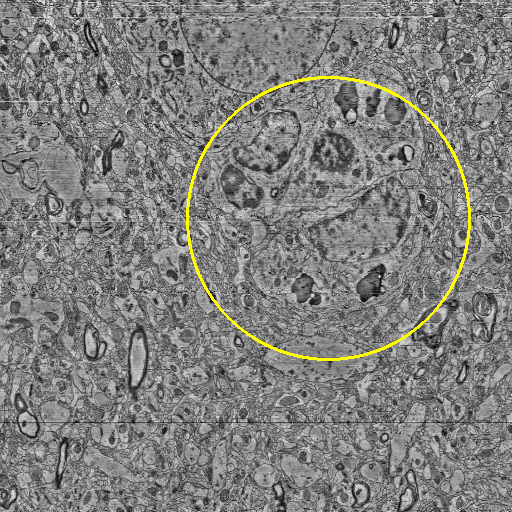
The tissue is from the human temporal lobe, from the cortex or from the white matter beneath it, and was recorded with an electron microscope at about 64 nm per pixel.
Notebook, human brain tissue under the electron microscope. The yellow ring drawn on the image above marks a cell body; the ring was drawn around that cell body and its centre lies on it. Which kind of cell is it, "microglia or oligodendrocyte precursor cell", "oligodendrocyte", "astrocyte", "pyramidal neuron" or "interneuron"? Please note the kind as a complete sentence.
The marked cell body is that of an interneuron.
